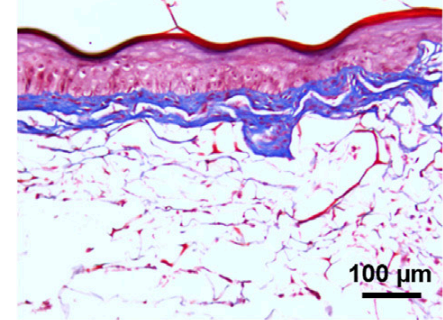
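This is a section of skin showing a stratified epidermis resting on a dermis. The epidermis is a multilayered band of pink-red cells with a thin, darker red compact surface layer. Directly beneath it, blue-stained collagen fibres form a denser band with a small downward projection, and below this the dermal matrix becomes a loose, open meshwork of fine blue and red fibres.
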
